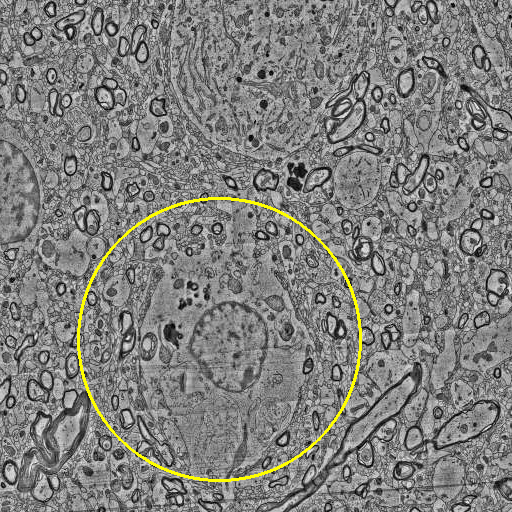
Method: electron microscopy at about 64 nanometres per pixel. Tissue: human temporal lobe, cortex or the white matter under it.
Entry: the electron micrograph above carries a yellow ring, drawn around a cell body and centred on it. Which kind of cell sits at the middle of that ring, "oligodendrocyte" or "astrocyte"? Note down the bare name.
astrocyte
